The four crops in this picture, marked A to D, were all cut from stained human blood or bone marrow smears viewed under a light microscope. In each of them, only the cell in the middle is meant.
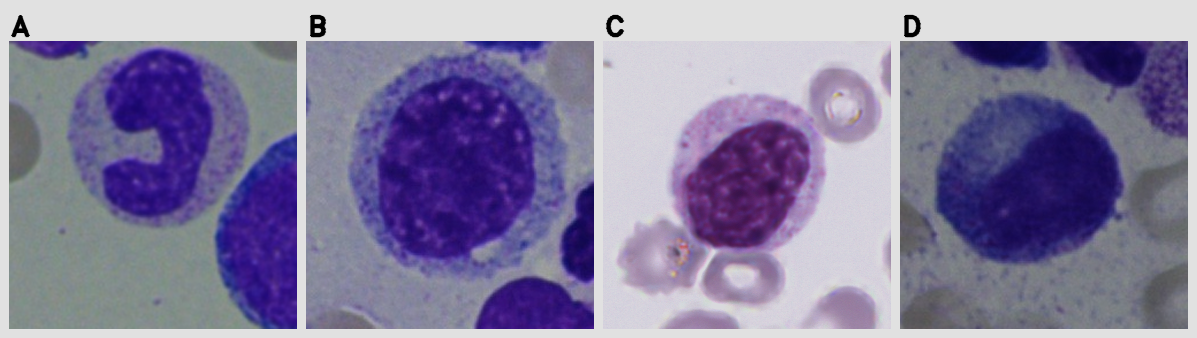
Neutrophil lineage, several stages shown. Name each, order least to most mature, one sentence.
Starting from the least mature, the sequence proceeds crop B (a promyelocyte), crop D (a myelocyte), crop C (a metamyelocyte) and crop A (a band neutrophil).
